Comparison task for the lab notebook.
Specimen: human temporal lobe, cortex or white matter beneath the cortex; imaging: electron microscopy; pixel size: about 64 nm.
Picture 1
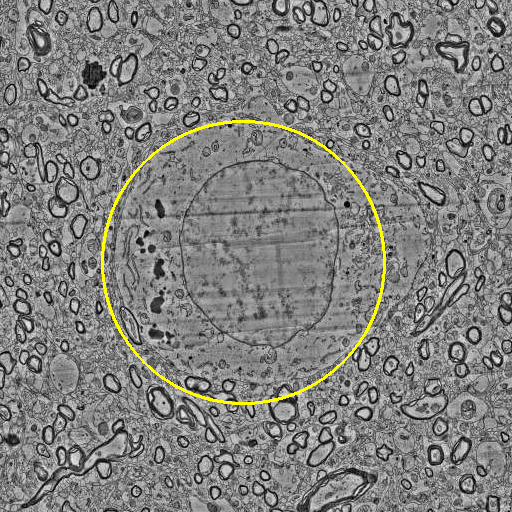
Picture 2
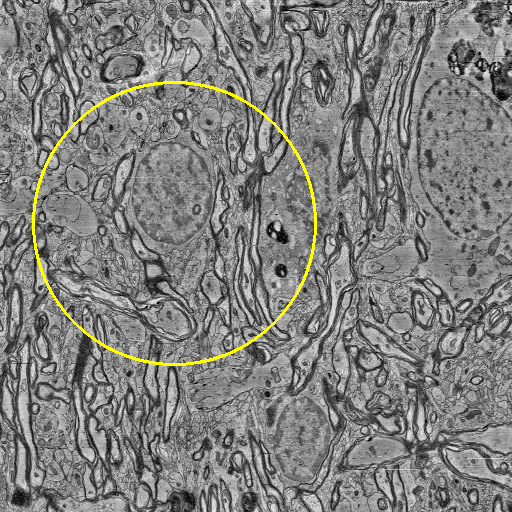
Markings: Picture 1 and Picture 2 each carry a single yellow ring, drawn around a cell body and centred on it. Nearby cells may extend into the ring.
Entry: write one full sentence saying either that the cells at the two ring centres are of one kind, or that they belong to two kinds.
The cells sitting at the ring centres in Picture 1 and Picture 2 belong to two kinds.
